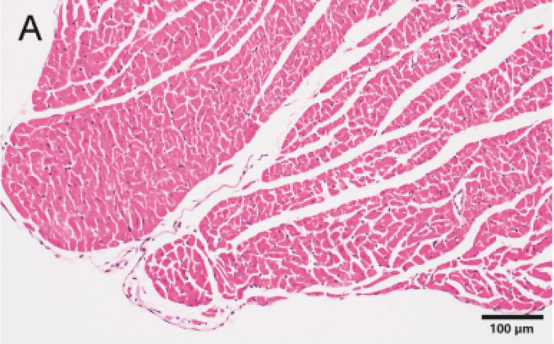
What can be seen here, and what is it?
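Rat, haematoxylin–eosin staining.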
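The fibres stain evenly pink and are closely packed, many cut in cross or oblique section. Small dark purple nuclei are scattered sparsely among the fibres. Narrow clear clefts separate the bundles from one another. No inflammatory infiltrate or fibre fragmentation is apparent.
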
